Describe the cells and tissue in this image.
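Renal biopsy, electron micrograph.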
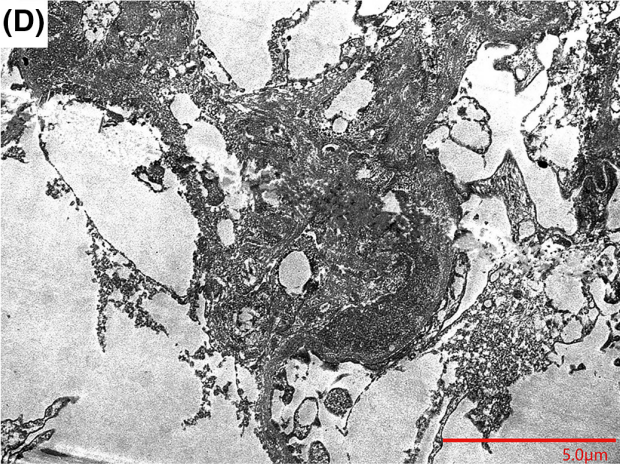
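At high magnification a glomerular mesangial region fills the centre as a dark, dense mass of cell bodies and matrix, with pale capillary lumens around it. Within the dark area lie granular electron-dense deposits of differing sizes, and at the edges the thin capillary walls can be followed with their covering cell processes.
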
